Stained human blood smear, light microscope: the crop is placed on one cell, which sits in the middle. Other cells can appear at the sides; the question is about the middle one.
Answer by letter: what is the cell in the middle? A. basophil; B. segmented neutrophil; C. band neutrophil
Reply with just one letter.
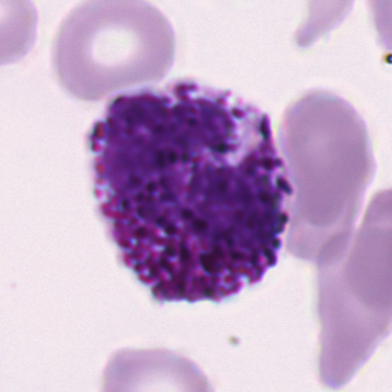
A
